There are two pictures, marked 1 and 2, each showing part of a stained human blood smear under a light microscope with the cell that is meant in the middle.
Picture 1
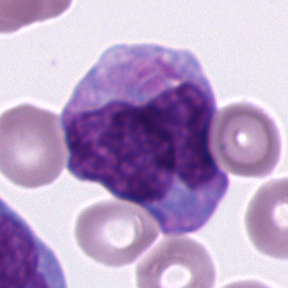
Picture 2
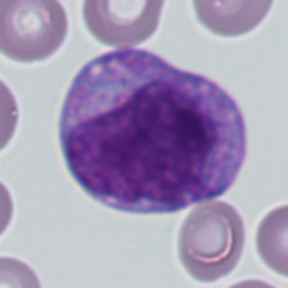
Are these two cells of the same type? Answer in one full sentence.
Yes, the two pictures both show atypical promyelocytes.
